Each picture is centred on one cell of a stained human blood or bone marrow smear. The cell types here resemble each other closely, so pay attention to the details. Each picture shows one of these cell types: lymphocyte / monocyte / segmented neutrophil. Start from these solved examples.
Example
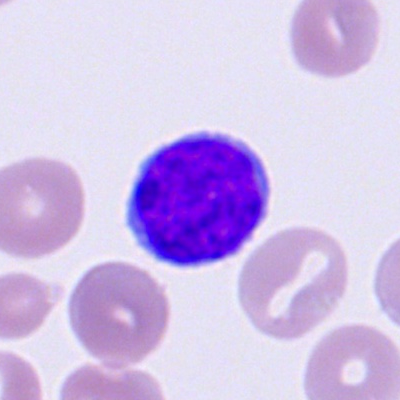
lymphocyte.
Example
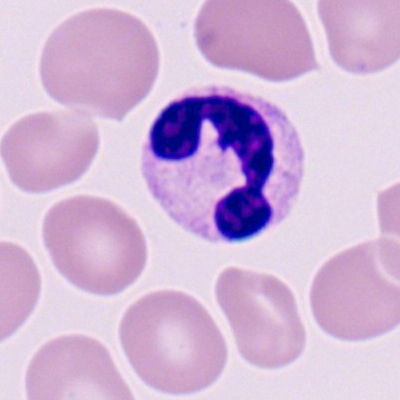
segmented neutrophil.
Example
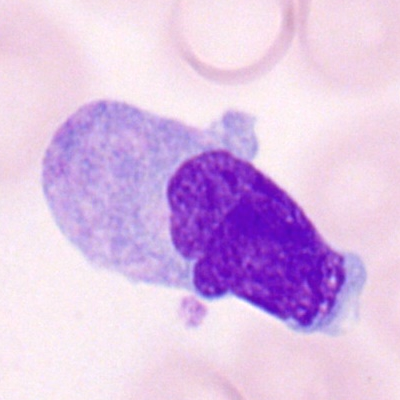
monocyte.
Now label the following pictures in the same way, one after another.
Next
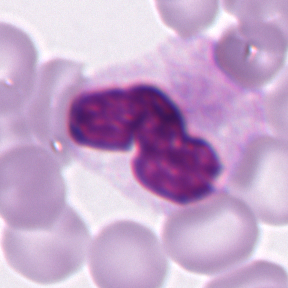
segmented neutrophil.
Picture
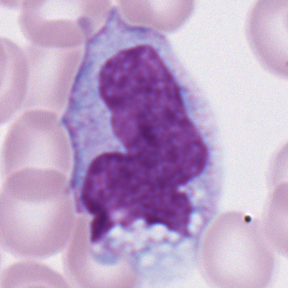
monocyte.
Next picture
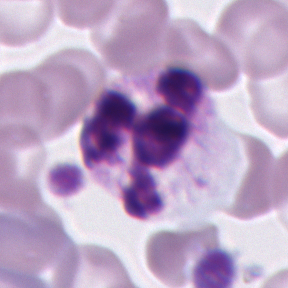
segmented neutrophil.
